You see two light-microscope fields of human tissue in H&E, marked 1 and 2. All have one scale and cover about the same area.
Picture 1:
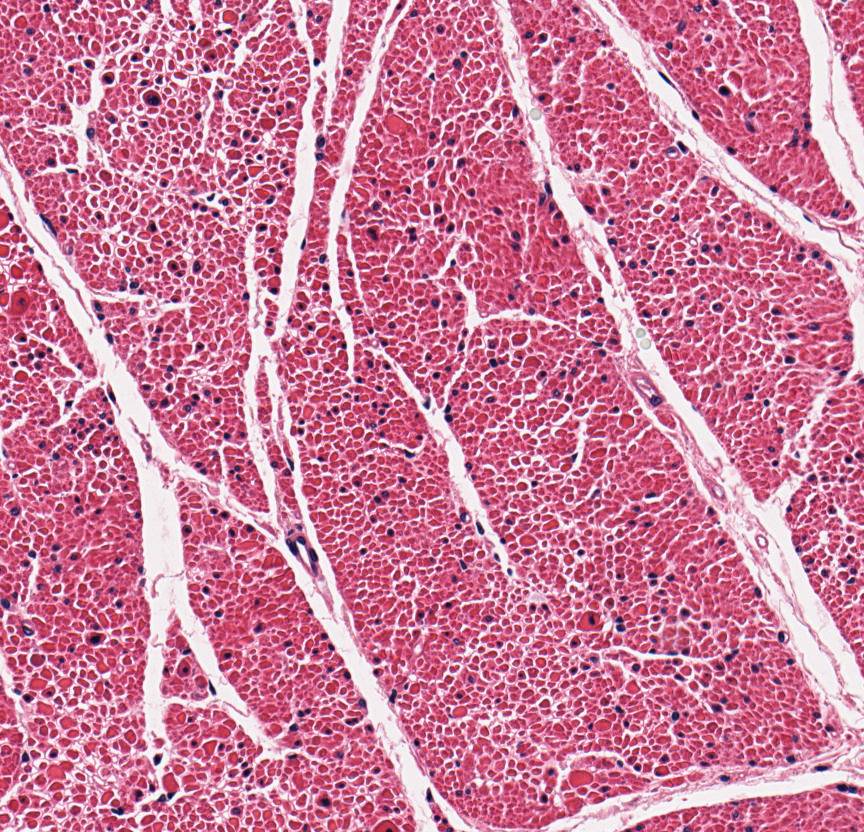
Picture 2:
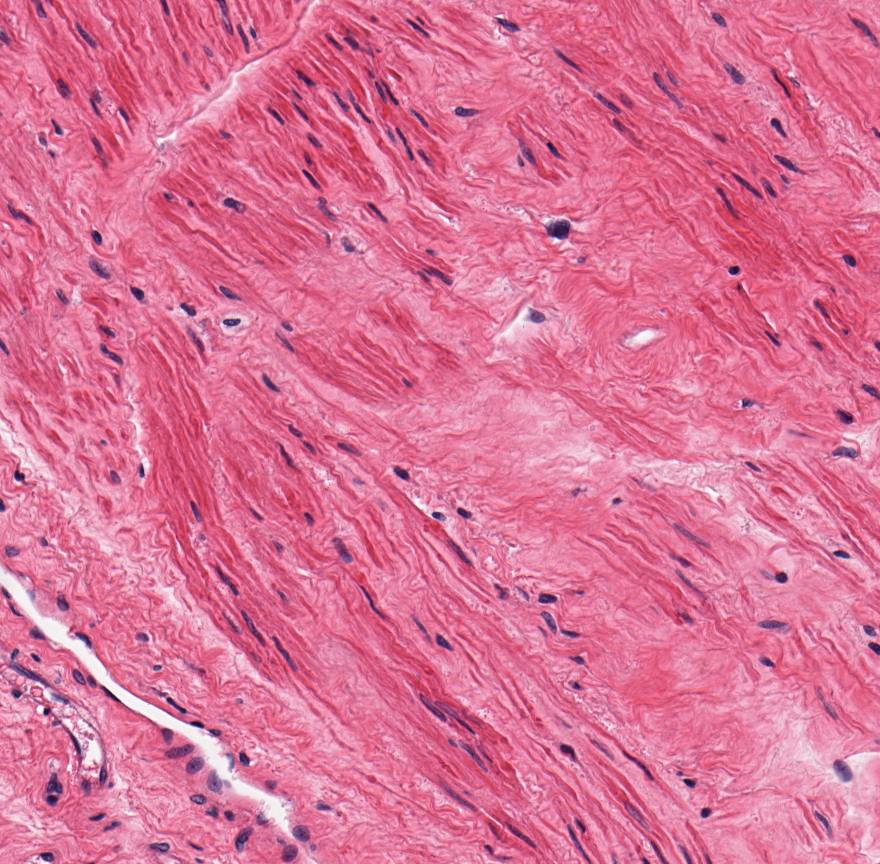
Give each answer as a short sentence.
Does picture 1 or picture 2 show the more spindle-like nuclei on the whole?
Longer, more slender nuclei lie in picture 2.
